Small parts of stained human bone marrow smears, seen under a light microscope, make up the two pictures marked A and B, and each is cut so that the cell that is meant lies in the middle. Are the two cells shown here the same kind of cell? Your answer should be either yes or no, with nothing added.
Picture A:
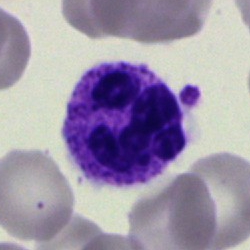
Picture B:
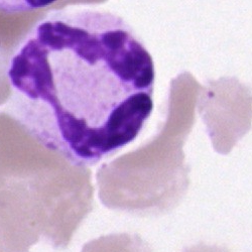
yes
